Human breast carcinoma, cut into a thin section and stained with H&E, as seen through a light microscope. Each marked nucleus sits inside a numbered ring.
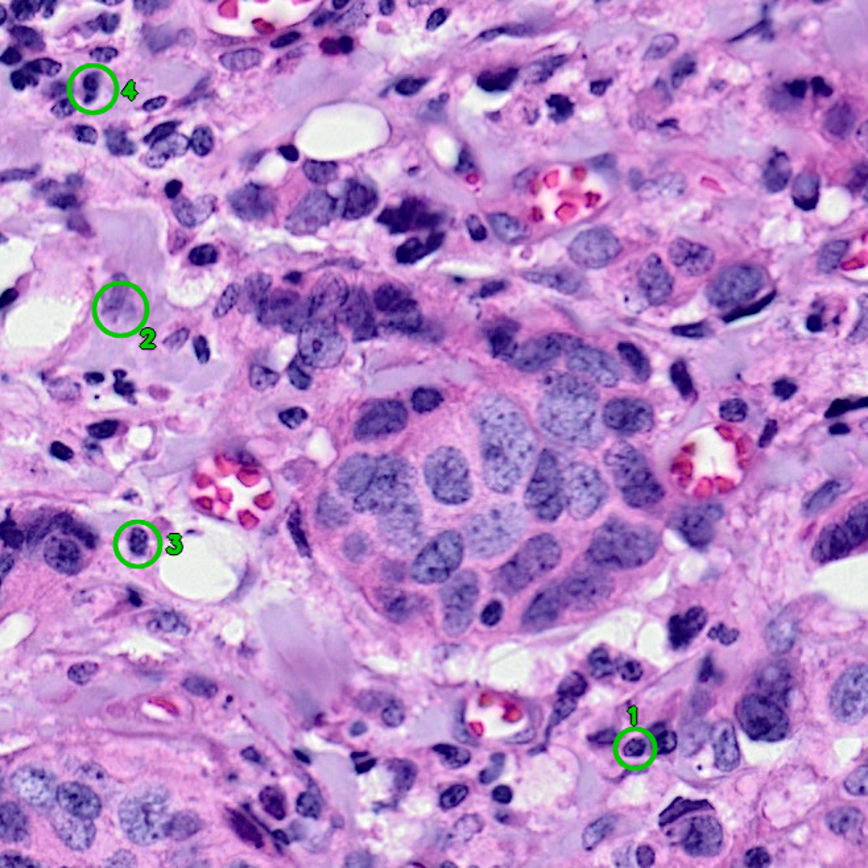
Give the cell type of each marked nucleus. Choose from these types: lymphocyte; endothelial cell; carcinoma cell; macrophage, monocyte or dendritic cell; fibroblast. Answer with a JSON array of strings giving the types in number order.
["lymphocyte", "fibroblast", "lymphocyte", "lymphocyte"]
